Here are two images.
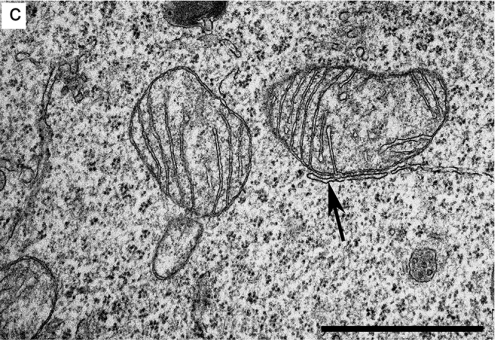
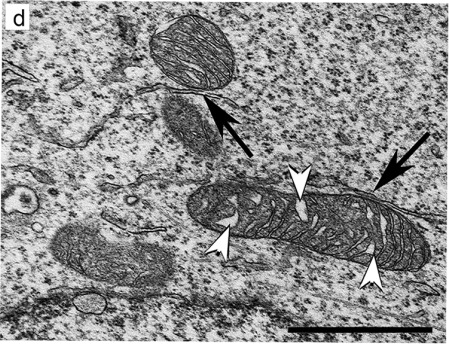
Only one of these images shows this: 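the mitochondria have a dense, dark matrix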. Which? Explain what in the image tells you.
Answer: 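Second image: mitochondria with dark, dense interiors between the cristae. First image: mitochondria with pale, light interiors between the cristae. That points to this answer: the second image.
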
